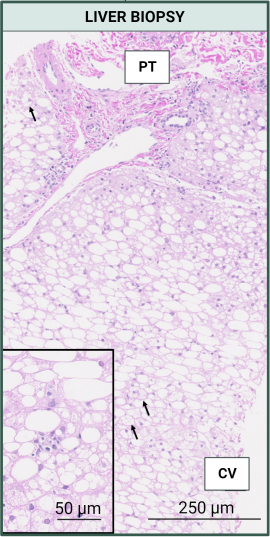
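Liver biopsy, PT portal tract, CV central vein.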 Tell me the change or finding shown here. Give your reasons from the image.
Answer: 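Most of the tissue is filled with round, empty-looking clear vacuoles. The vacuoles vary from large ones to small ones. The vacuoles give the parenchyma a honeycomb look. The answer: steatosis.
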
